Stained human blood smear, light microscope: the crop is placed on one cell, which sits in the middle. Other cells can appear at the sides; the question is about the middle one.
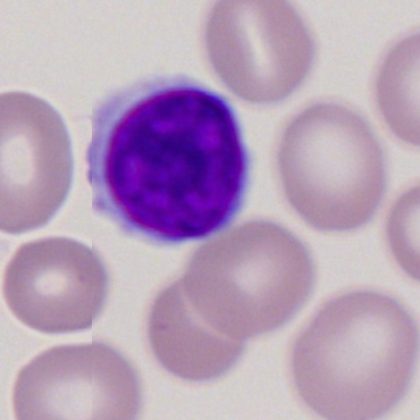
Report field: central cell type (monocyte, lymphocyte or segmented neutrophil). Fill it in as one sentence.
The cell in the middle of the field of view is a lymphocyte.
